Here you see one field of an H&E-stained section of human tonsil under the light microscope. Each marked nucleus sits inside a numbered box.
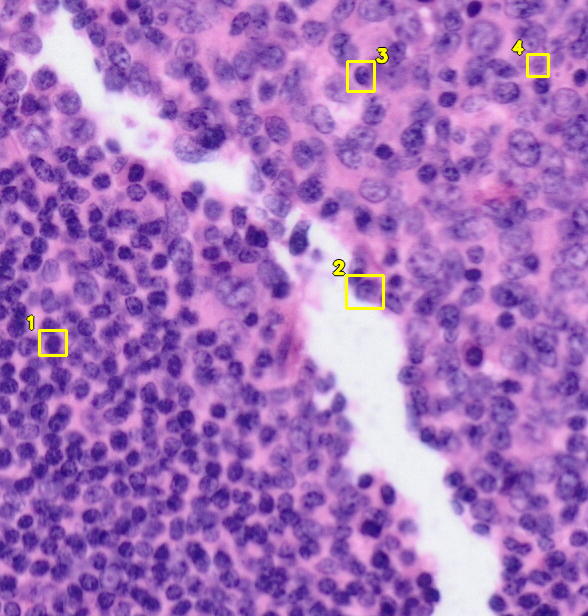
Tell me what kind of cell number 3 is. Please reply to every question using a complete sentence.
In this section, number 3 marks a proliferating B cell.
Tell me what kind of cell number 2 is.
Among the marked nuclei, number 2 belongs to a proliferating B cell.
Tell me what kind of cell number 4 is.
The cell that bears the number 4 is a proliferating B cell.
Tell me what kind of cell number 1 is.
Number 1 is placed on a small lymphocyte here.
